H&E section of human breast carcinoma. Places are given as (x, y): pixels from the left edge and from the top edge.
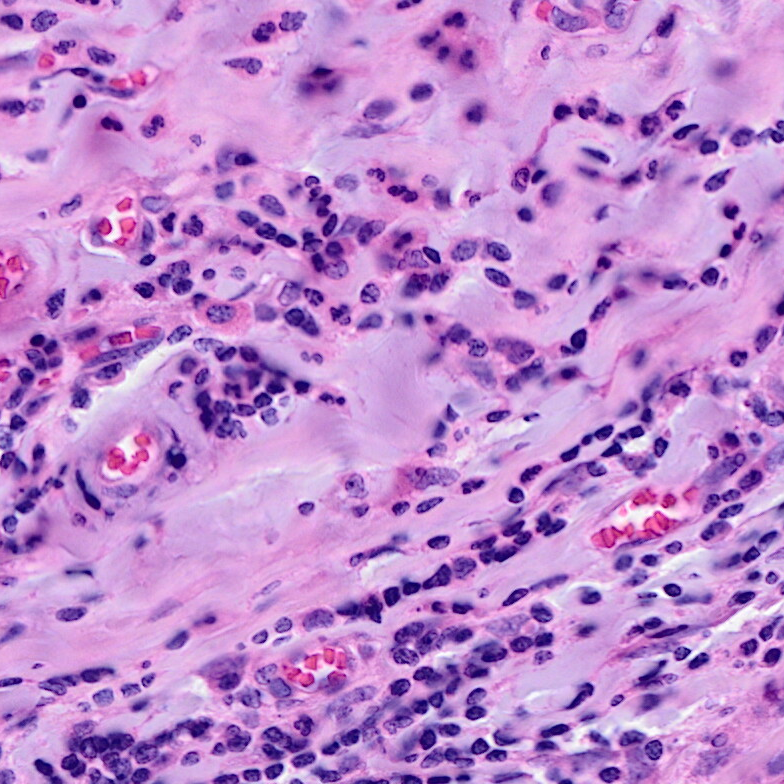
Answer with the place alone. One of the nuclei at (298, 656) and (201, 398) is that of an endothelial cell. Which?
(298, 656)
